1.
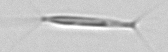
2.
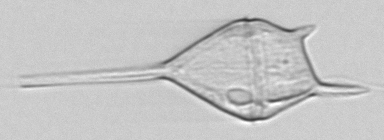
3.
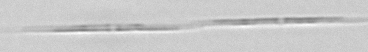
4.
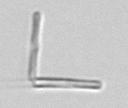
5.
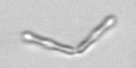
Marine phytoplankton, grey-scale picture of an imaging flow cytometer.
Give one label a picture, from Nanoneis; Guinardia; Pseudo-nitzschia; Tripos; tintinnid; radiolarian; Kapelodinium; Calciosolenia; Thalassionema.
1: Calciosolenia
2: Tripos
3: Pseudo-nitzschia
4: Nanoneis
5: Nanoneis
